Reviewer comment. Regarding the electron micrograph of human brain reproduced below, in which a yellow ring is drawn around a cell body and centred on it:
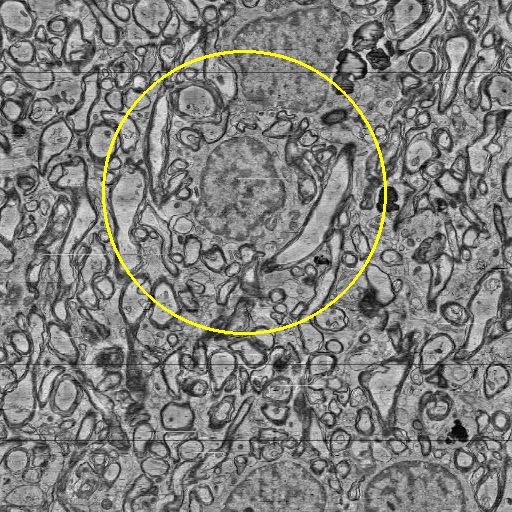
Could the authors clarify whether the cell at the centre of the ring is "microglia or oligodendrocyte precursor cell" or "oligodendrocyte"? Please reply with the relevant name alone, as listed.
oligodendrocyte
